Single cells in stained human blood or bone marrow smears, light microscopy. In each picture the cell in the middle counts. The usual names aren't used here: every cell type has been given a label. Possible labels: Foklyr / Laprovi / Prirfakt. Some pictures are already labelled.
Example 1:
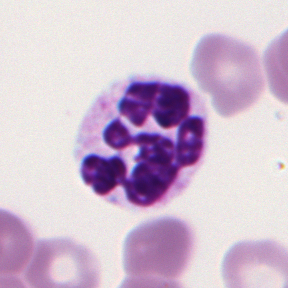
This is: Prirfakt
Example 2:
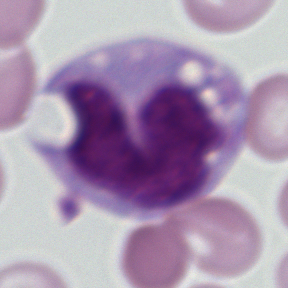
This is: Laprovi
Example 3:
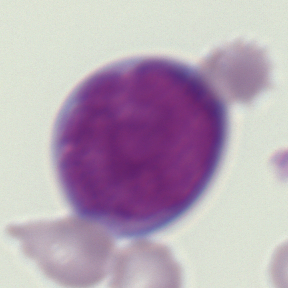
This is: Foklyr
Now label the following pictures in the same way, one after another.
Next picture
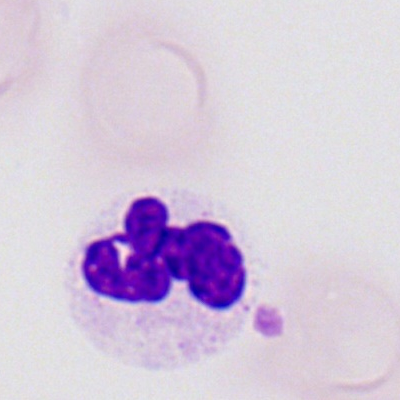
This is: Prirfakt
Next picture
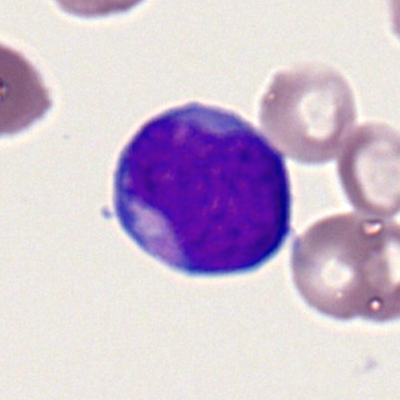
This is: Foklyr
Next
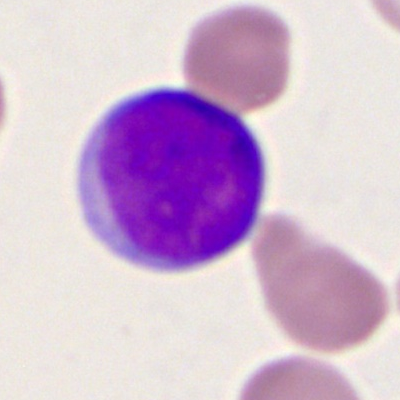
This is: Foklyr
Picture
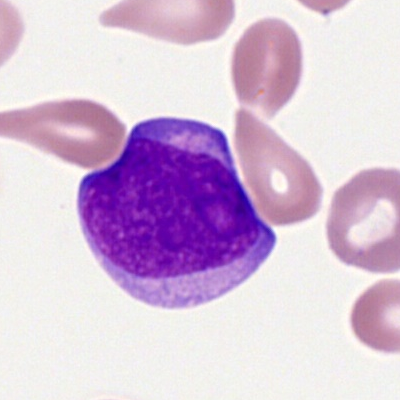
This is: Foklyr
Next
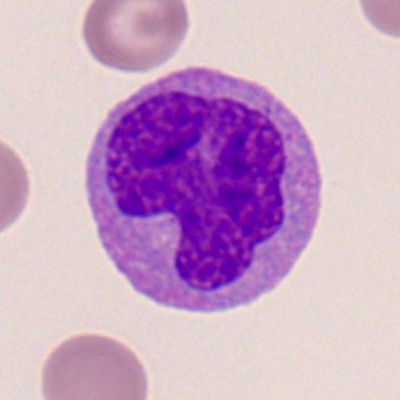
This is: Laprovi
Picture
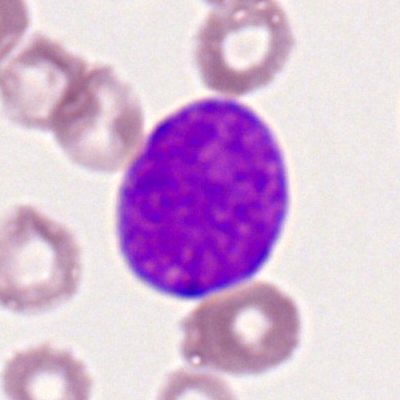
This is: Foklyr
